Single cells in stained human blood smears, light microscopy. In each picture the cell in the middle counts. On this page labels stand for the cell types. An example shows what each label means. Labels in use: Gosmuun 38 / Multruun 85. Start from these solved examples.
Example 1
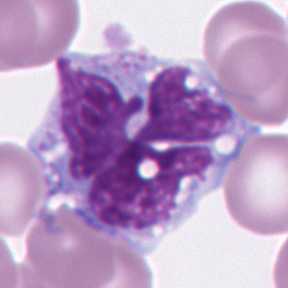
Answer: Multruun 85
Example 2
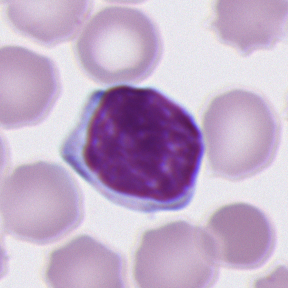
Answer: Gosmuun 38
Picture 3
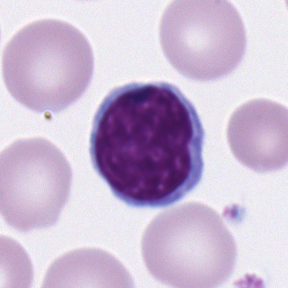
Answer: Gosmuun 38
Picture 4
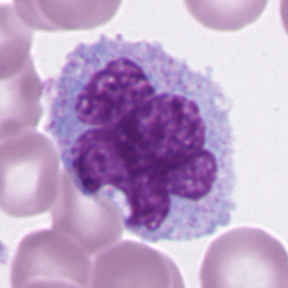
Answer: Multruun 85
